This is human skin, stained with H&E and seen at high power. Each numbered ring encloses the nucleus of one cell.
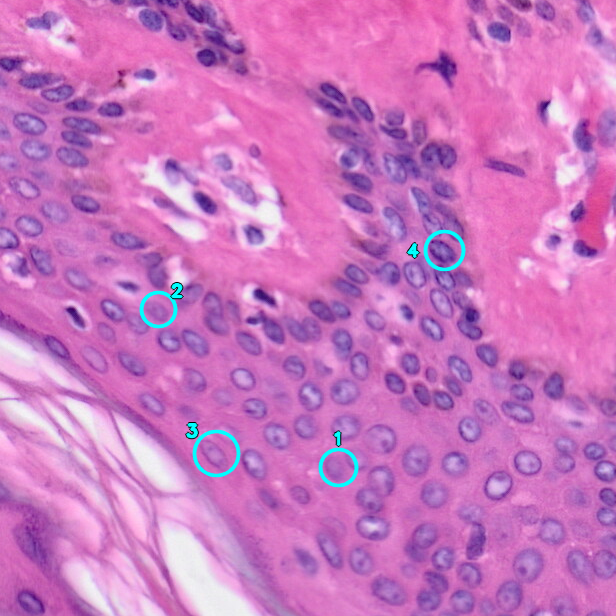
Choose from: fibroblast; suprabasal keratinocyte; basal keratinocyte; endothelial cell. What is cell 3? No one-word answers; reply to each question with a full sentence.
Recognised here as a suprabasal keratinocyte is the cell numbered 3.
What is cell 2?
Looking at the numbered marks, cell 2 is a suprabasal keratinocyte.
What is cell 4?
Recognised here as a basal keratinocyte is the cell numbered 4.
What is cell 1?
Number 1 among the marked cells is a suprabasal keratinocyte.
